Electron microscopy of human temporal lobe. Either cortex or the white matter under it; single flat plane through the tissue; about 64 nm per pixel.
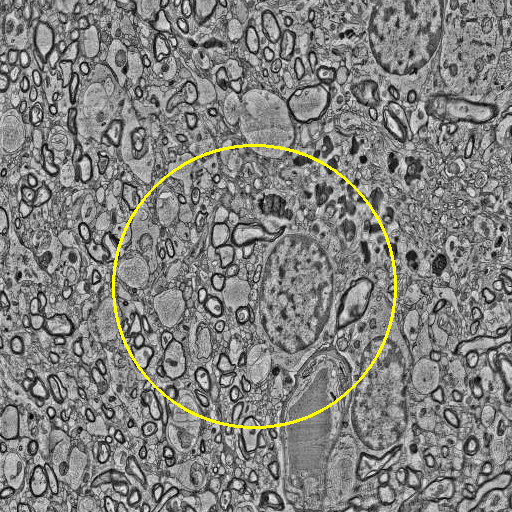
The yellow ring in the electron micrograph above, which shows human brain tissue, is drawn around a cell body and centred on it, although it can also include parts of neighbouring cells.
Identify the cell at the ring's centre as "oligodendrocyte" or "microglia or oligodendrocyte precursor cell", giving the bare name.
oligodendrocyte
